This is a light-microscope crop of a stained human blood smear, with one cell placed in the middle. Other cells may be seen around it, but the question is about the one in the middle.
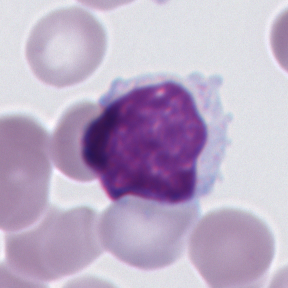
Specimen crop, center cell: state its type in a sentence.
The cell at the middle of the frame should be recorded as a large granular lymphocyte.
